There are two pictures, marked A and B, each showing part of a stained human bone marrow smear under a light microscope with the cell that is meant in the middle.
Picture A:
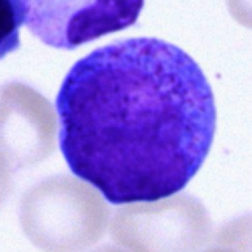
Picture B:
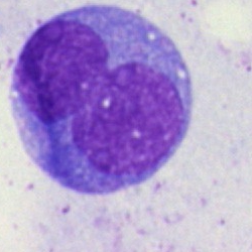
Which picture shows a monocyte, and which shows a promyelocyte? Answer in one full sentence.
The cell in picture A is a promyelocyte, and the one in picture B is a monocyte.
